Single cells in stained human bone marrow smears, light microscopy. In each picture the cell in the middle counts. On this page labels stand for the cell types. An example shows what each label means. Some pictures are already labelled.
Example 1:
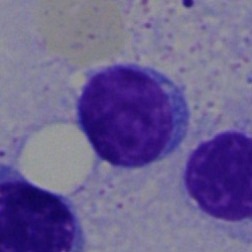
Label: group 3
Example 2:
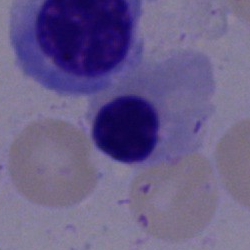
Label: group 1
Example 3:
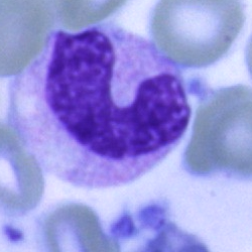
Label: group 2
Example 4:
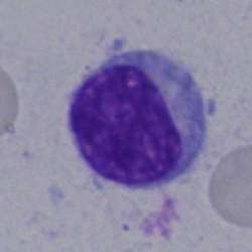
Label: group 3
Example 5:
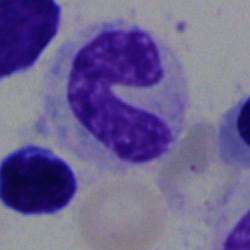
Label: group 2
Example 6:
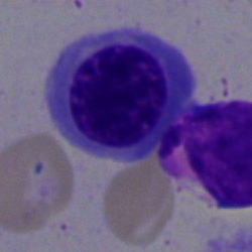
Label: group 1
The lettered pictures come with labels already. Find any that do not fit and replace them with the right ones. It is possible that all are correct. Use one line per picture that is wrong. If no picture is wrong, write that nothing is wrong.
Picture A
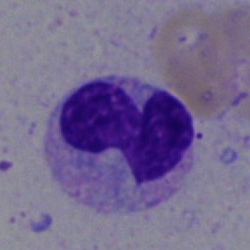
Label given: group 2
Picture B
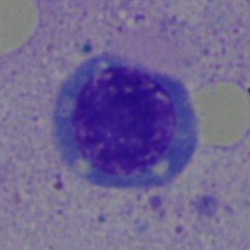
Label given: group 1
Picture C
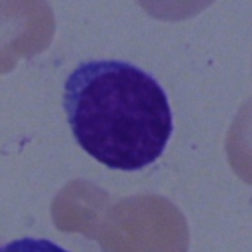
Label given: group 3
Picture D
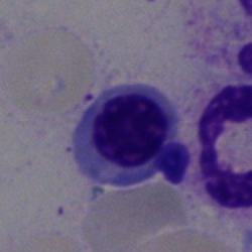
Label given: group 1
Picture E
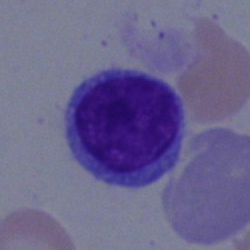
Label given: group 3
All labels are correct.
